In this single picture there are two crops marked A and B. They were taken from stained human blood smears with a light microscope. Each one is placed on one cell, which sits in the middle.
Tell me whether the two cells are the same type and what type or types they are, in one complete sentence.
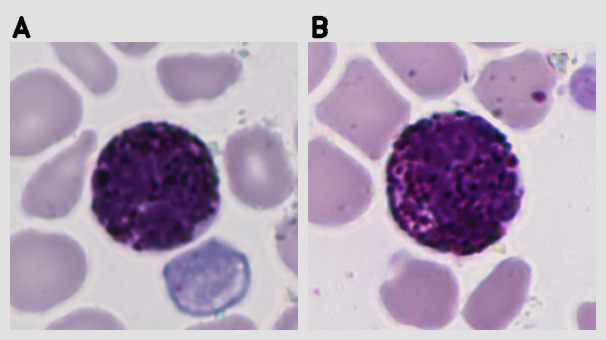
Yes, basophils are seen in both crops.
